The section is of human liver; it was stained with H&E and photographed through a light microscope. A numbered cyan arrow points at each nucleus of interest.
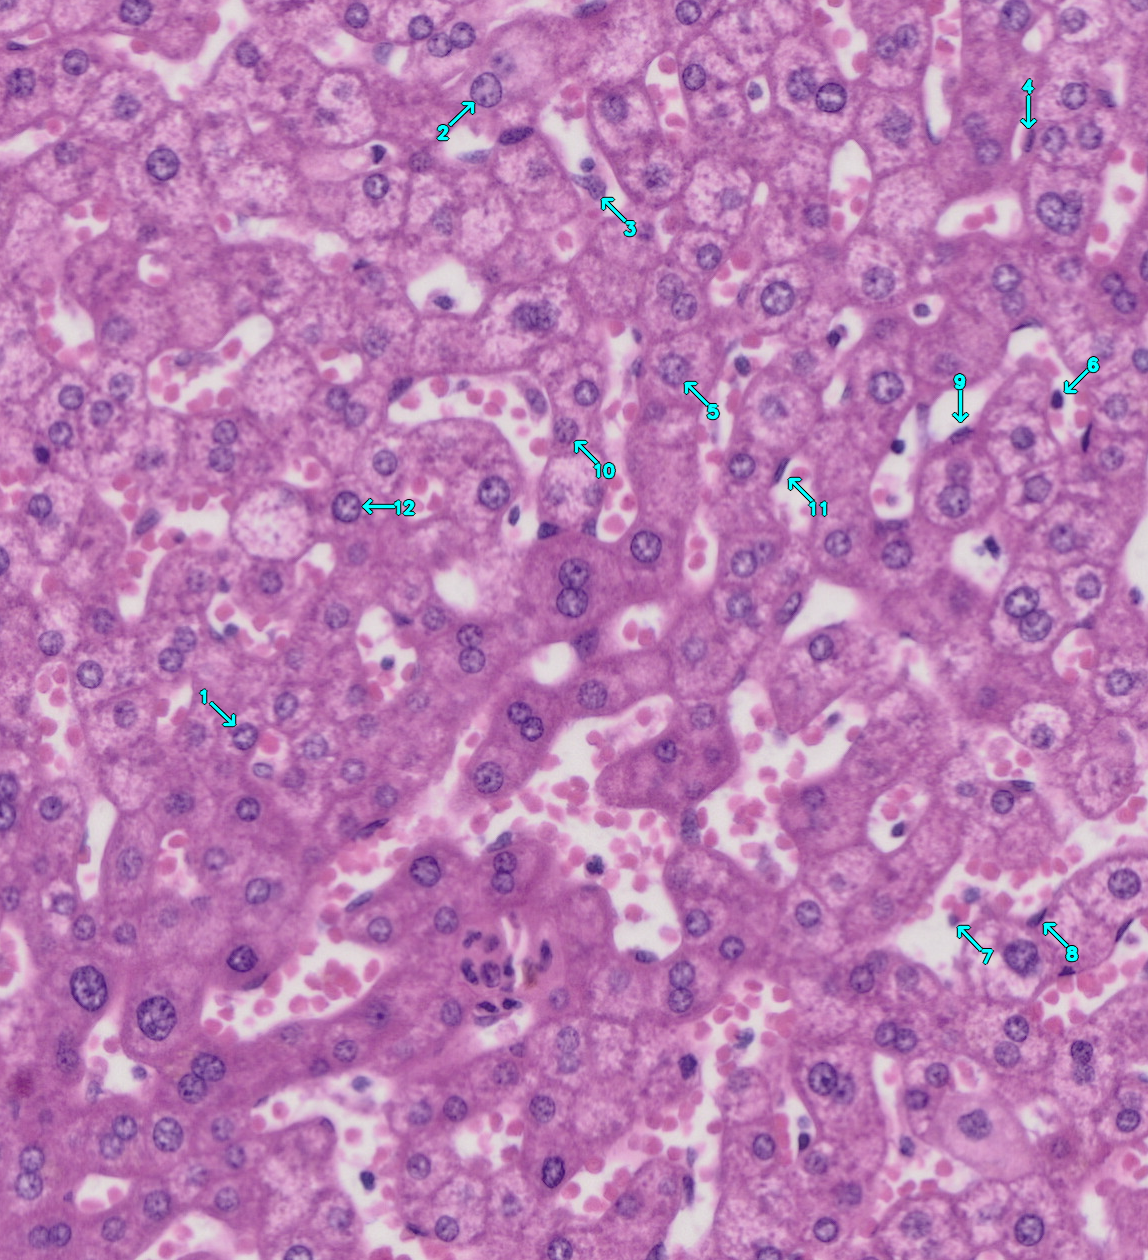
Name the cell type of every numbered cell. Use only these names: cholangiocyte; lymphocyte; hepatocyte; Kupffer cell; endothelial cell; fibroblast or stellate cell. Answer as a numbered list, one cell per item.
1. hepatocyte
2. hepatocyte
3. Kupffer cell
4. Kupffer cell
5. hepatocyte
6. lymphocyte
7. lymphocyte
8. fibroblast or stellate cell
9. endothelial cell
10. hepatocyte
11. endothelial cell
12. hepatocyte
